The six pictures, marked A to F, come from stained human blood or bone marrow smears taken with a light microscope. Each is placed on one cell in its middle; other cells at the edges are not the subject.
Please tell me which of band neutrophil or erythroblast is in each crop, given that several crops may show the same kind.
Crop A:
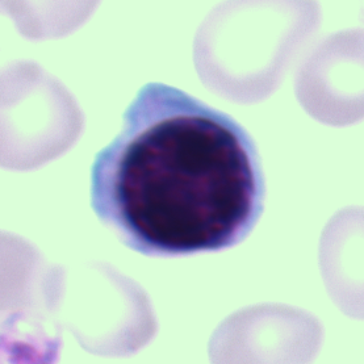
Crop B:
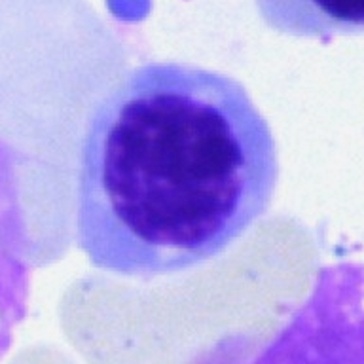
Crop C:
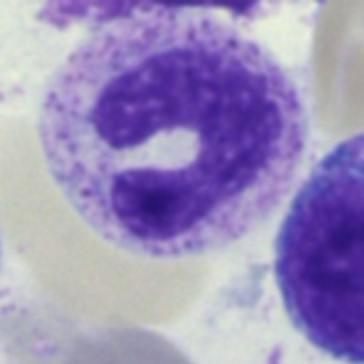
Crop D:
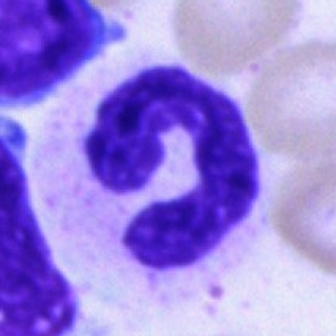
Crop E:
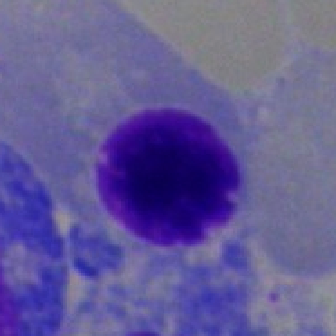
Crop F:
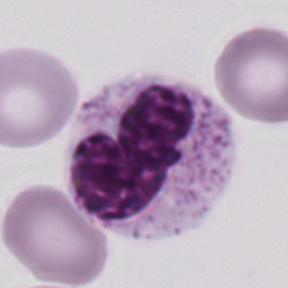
A: erythroblast
B: erythroblast
C: band neutrophil
D: band neutrophil
E: erythroblast
F: band neutrophil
